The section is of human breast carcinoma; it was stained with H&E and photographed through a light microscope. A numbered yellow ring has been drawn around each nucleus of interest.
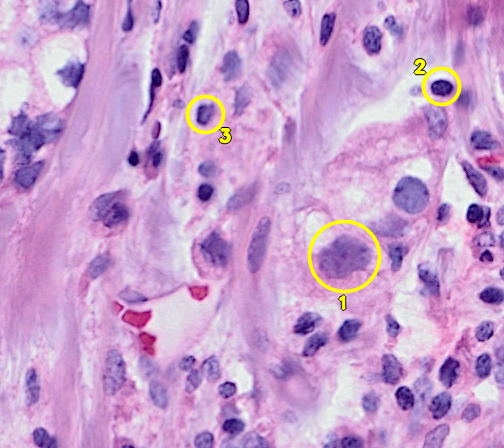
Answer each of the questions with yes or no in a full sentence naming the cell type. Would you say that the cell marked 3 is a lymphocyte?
Yes, the cell shown as number 3 is a lymphocyte.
